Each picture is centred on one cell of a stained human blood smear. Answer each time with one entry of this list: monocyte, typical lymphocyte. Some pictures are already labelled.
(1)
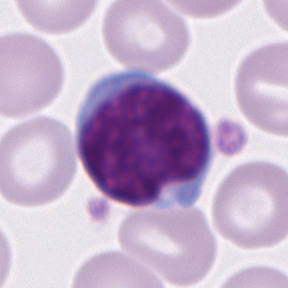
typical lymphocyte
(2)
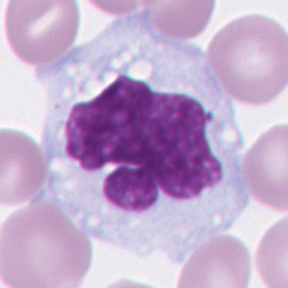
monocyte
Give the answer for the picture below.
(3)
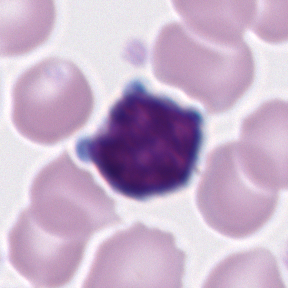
typical lymphocyte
